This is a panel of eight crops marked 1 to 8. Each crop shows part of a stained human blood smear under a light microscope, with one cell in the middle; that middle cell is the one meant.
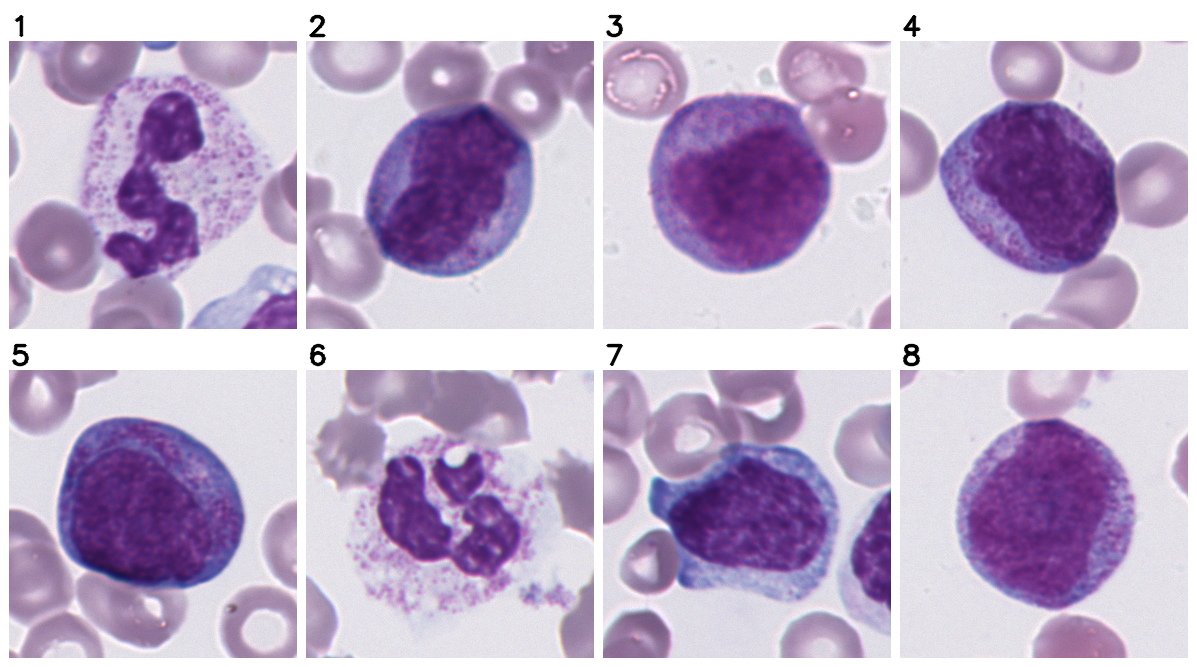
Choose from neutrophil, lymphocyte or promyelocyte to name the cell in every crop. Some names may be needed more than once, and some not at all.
1: neutrophil
2: promyelocyte
3: promyelocyte
4: promyelocyte
5: promyelocyte
6: neutrophil
7: promyelocyte
8: promyelocyte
